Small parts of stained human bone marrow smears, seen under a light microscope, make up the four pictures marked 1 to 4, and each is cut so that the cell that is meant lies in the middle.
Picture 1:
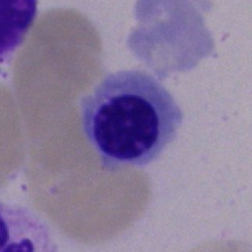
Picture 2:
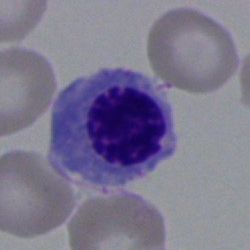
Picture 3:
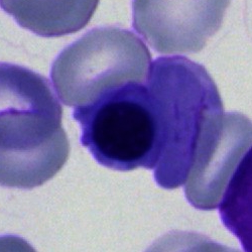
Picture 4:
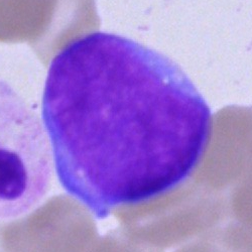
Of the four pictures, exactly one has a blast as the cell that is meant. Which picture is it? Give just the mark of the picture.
4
